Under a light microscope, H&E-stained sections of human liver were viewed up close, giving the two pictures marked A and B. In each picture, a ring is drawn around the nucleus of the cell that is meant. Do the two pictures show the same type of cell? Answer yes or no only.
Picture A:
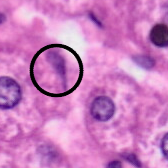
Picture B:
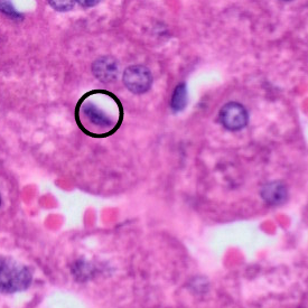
yes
